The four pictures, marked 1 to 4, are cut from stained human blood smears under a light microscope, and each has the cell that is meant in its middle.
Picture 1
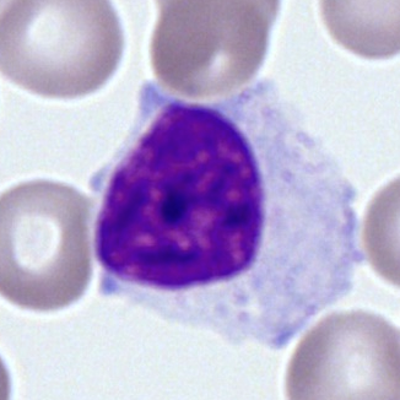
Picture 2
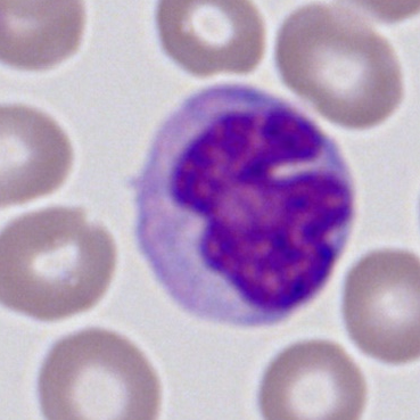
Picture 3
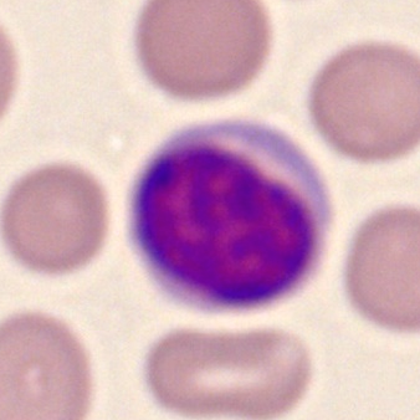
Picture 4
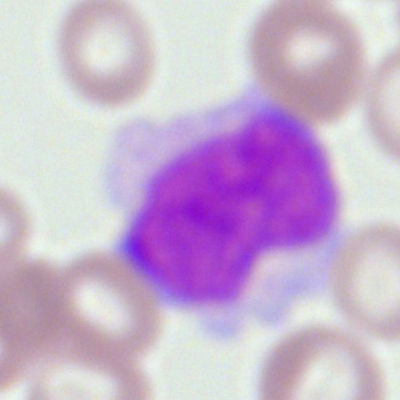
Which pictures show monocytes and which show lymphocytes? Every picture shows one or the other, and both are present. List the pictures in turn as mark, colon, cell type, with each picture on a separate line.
1: lymphocyte
2: monocyte
3: lymphocyte
4: monocyte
